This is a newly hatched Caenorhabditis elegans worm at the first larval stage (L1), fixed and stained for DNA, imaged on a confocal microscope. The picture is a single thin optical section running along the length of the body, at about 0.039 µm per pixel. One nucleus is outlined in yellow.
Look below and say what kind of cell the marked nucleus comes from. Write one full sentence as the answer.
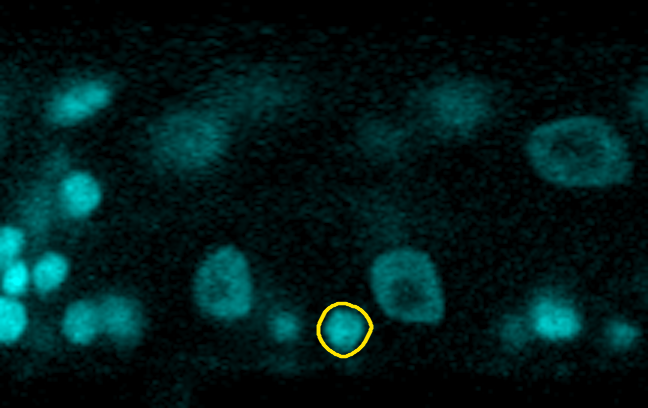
The marked cell is a neuron.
